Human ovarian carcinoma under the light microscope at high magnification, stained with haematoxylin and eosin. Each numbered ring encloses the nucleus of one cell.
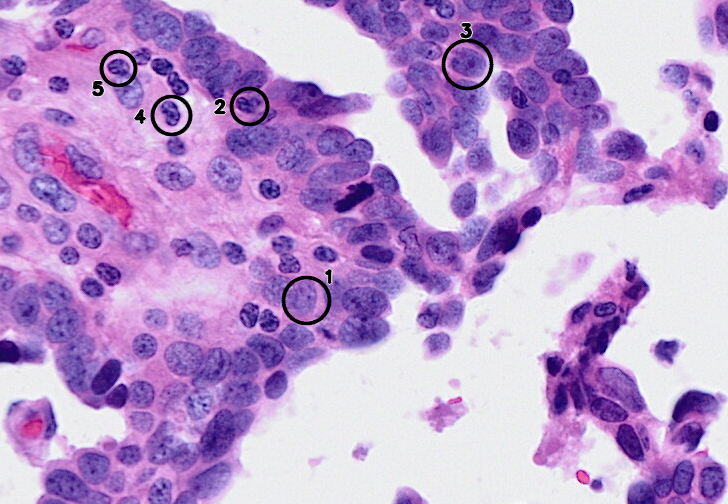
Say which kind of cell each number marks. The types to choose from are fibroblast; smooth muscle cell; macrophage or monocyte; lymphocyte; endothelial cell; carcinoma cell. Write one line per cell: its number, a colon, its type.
1: carcinoma cell
2: lymphocyte
3: carcinoma cell
4: lymphocyte
5: lymphocyte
